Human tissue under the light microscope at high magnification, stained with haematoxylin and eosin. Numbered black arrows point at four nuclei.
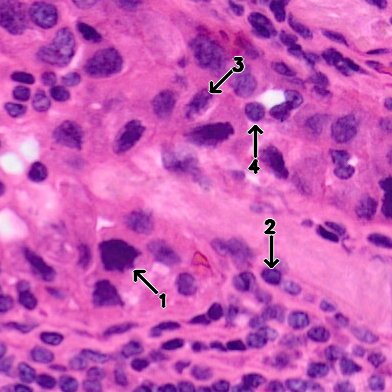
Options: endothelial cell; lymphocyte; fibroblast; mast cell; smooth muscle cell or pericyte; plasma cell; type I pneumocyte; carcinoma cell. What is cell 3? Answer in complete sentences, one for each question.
The cell numbered 3 represents a carcinoma cell.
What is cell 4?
Classified as a lymphocyte is the cell with the number 4.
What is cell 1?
The nucleus marked 1 is the nucleus of a carcinoma cell.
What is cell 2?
The numbered cell 2 in this field is a lymphocyte.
